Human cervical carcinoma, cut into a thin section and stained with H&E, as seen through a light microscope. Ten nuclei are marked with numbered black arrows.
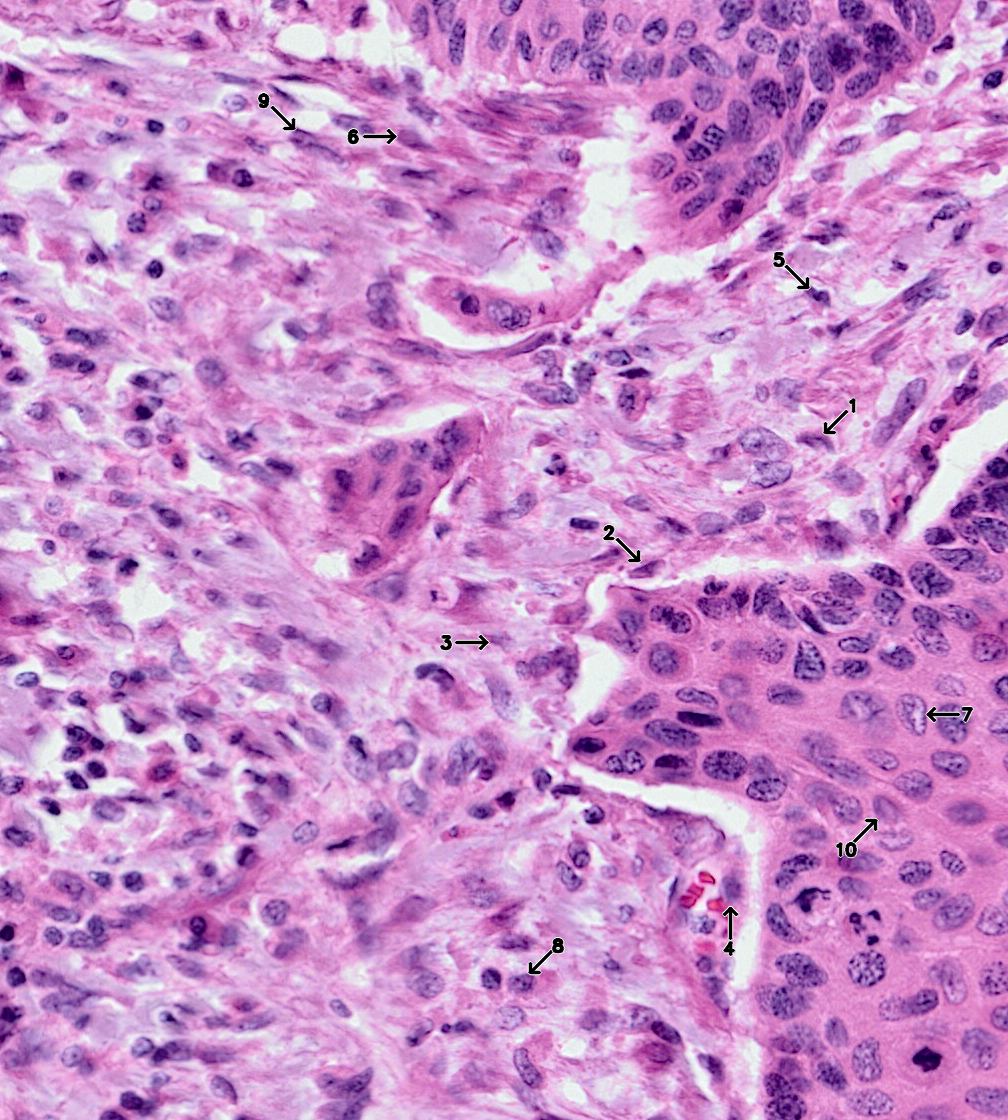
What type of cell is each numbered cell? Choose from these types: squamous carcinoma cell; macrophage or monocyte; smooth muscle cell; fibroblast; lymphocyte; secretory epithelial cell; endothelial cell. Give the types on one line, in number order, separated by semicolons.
fibroblast; fibroblast; fibroblast; endothelial cell; fibroblast; fibroblast; squamous carcinoma cell; macrophage or monocyte; fibroblast; squamous carcinoma cell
